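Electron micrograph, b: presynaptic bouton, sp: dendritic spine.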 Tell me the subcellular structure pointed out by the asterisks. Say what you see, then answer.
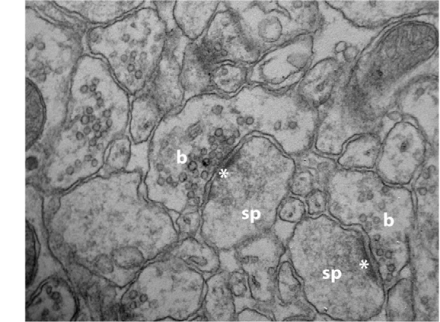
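Postsynaptic density. Each asterisk sits at a dark, dense band of membrane where a vesicle-filled profile meets another profile. The dense band lines the profile without vesicles.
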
